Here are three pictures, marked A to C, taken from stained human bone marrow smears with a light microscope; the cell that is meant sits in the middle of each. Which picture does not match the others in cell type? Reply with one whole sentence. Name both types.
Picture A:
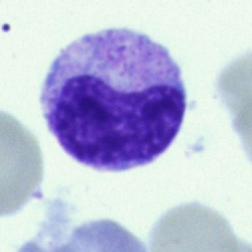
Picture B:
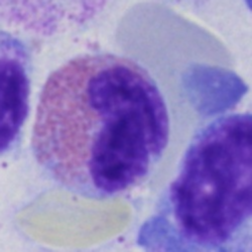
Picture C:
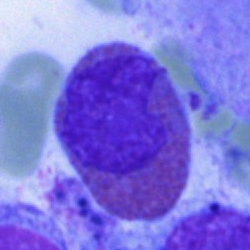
The different one is picture A; it shows a band neutrophil, whereas all the others show eosinophils.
